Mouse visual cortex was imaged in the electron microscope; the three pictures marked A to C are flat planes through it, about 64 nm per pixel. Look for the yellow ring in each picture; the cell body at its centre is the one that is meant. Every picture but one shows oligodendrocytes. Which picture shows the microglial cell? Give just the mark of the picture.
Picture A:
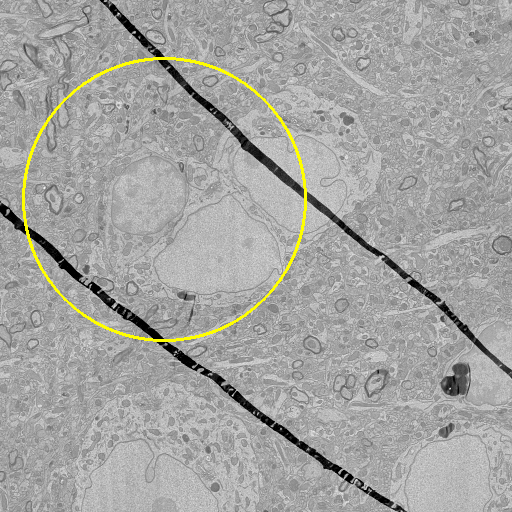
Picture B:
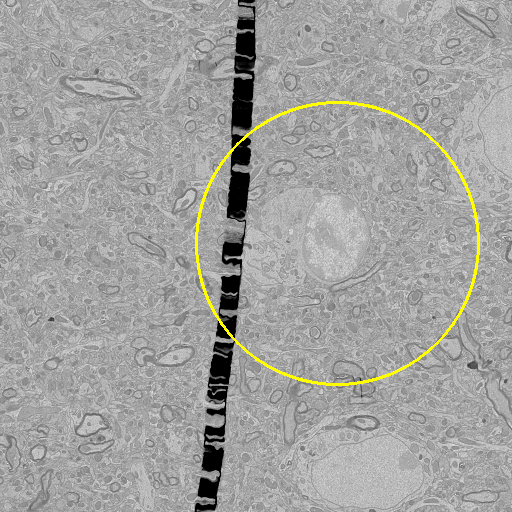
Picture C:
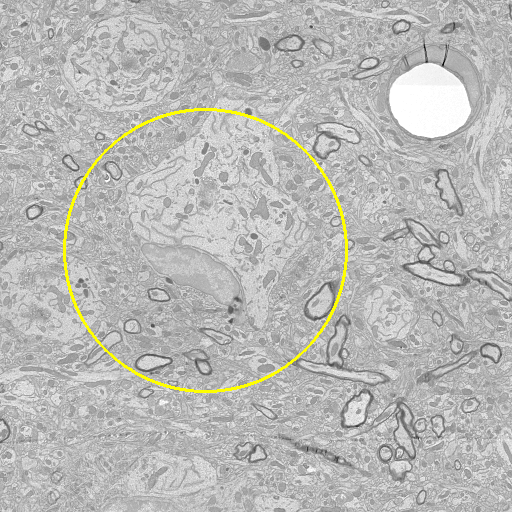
C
